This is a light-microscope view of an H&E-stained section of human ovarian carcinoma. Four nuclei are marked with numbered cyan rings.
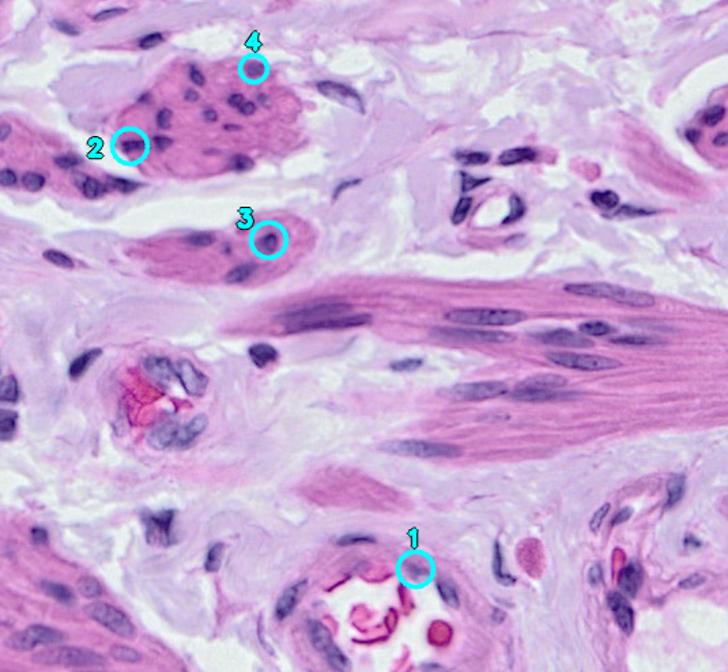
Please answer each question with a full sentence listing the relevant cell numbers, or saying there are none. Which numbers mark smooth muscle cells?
The numbers 2, 3 and 4 refer to cells that are smooth muscle cells.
